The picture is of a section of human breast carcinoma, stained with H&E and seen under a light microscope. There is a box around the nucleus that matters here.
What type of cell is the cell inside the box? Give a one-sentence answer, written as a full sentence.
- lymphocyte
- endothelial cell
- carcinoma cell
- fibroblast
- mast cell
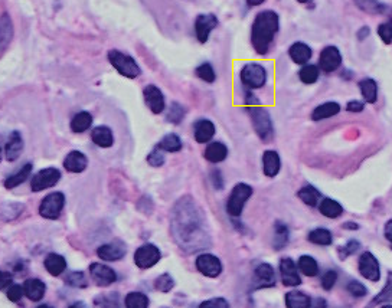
In the context of this tissue, the cell inside the box is a lymphocyte.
